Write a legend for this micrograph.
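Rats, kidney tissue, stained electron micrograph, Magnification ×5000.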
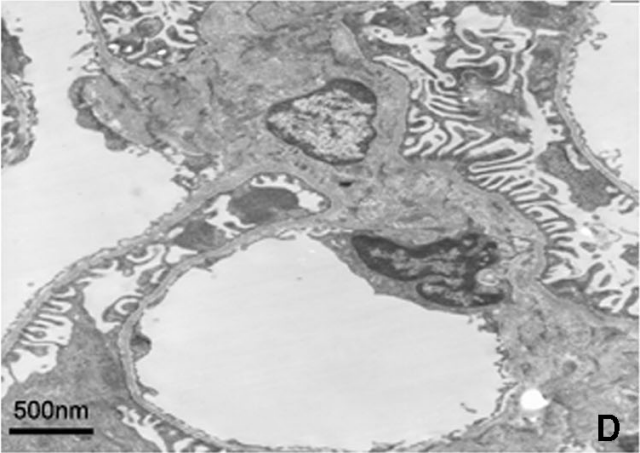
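Several rounded, empty capillary lumina are separated by a central mass of grey cellular tissue containing two nuclei, one pale with granular chromatin and one darker and more condensed. The capillary walls are thin basement membranes whose outer sides carry rows of interdigitating foot processes, most densely packed at the upper right. The central cells lying between the loops sit in the supporting stalk of the tuft. This is a glomerulus seen as capillary loops around a cellular core, with podocyte foot processes covering the loops.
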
